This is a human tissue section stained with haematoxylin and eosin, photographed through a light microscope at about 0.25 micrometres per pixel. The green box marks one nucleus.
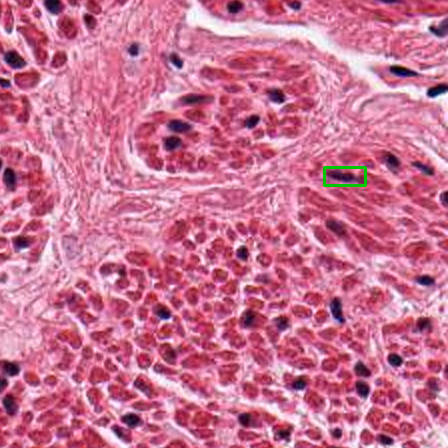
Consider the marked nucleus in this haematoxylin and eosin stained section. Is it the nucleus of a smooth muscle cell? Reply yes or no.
yes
